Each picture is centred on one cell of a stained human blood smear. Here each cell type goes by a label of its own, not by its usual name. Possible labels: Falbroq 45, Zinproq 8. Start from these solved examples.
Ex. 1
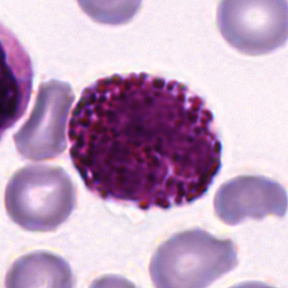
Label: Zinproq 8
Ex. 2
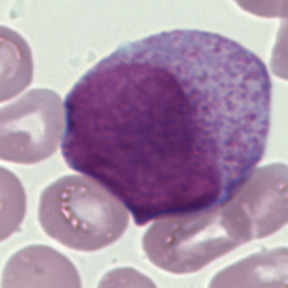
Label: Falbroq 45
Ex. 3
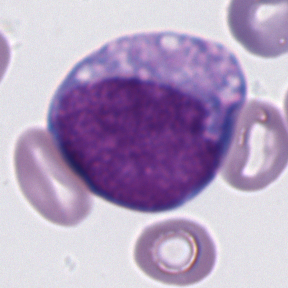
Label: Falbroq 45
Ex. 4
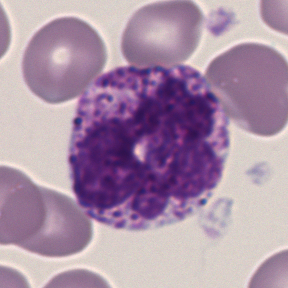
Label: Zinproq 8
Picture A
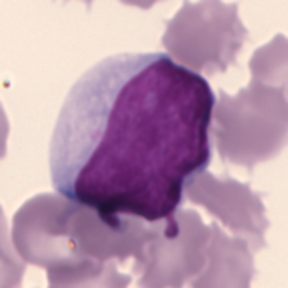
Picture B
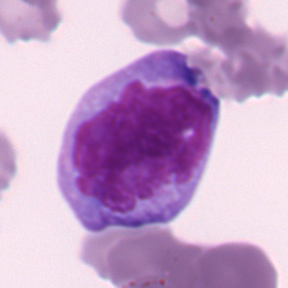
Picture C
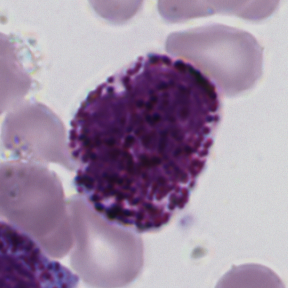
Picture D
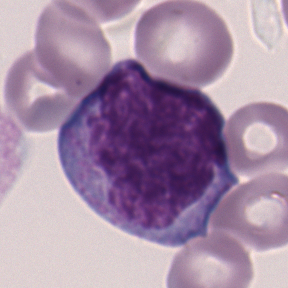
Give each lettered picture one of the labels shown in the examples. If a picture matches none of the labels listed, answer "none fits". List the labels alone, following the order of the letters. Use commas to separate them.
none fits, none fits, Zinproq 8, Falbroq 45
